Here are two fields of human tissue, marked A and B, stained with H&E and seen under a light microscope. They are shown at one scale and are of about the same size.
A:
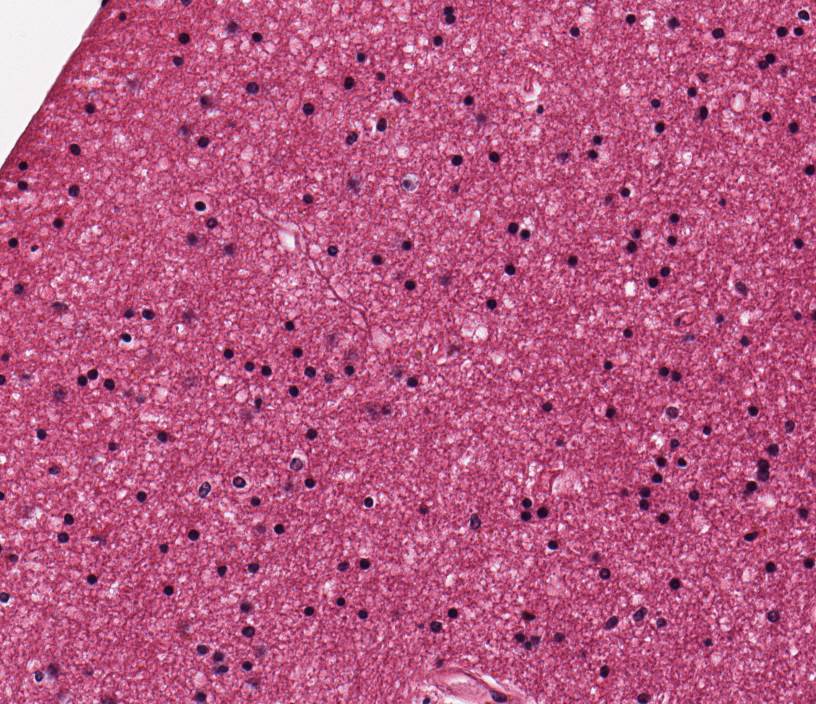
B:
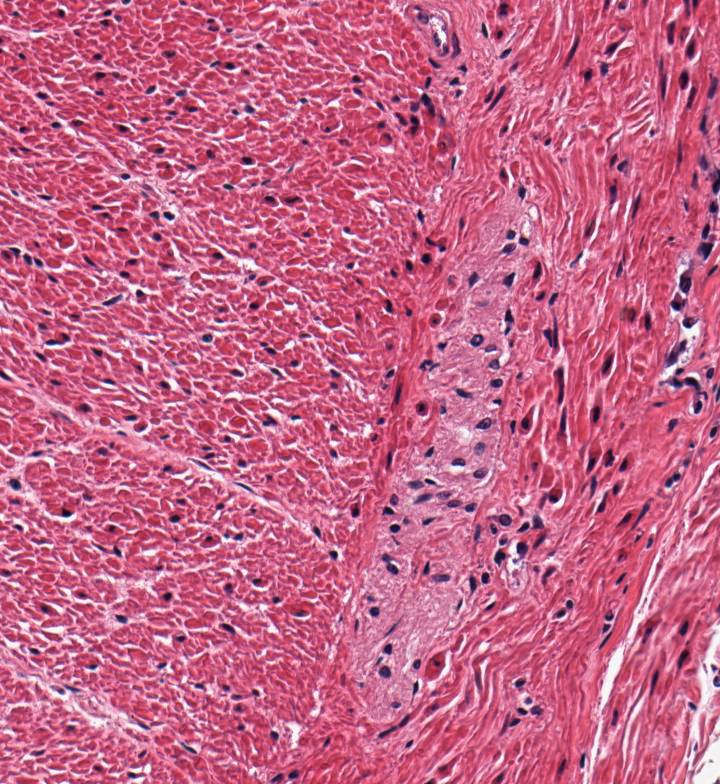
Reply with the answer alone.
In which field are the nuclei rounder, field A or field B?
A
